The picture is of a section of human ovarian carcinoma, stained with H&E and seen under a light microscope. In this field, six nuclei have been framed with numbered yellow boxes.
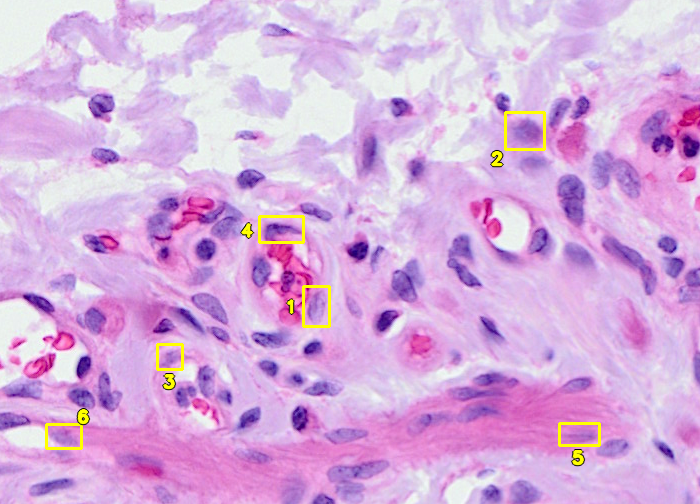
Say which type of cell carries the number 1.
endothelial cell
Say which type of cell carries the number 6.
endothelial cell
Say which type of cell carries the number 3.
endothelial cell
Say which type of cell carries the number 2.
fibroblast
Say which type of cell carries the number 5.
smooth muscle cell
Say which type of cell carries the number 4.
endothelial cell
